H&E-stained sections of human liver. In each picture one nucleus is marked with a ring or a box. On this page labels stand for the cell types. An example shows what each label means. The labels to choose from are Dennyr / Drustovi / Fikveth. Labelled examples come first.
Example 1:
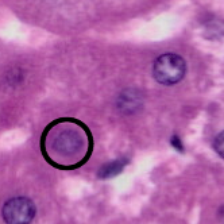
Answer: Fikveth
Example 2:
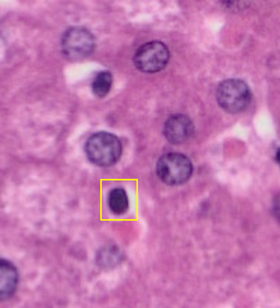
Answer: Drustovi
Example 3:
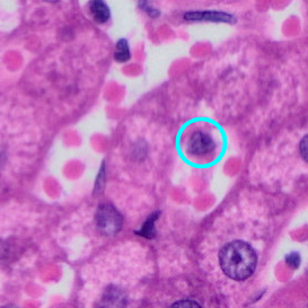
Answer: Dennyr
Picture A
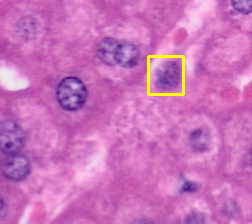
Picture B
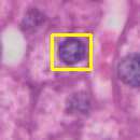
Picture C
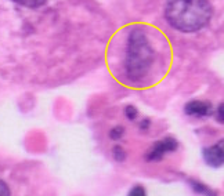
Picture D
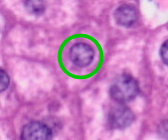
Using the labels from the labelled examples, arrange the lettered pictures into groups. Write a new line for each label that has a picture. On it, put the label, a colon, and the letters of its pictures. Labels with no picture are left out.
Dennyr: A, C
Fikveth: B, D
